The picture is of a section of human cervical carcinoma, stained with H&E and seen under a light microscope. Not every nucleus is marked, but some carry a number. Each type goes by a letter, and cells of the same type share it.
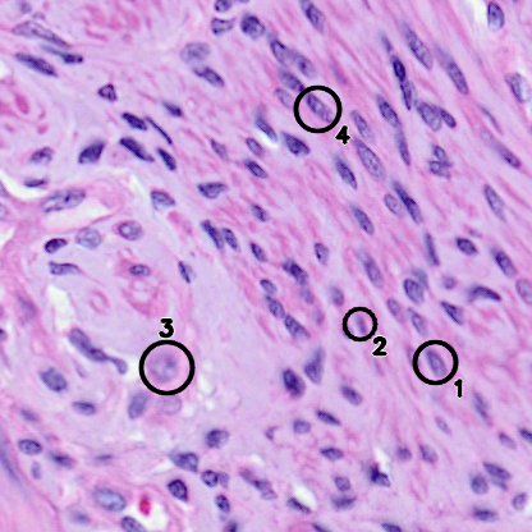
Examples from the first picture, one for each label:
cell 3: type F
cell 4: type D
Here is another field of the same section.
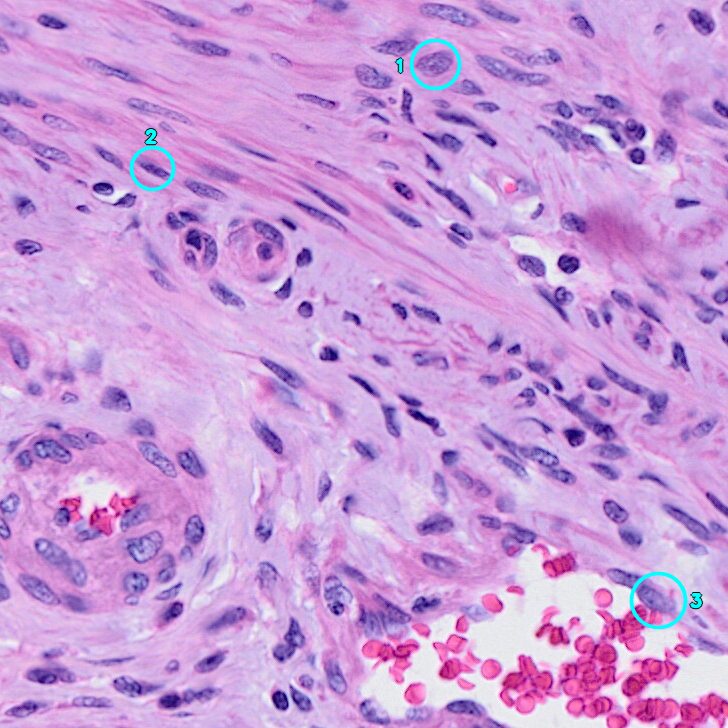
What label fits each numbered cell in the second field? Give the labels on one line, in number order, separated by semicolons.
type D; type D; type F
